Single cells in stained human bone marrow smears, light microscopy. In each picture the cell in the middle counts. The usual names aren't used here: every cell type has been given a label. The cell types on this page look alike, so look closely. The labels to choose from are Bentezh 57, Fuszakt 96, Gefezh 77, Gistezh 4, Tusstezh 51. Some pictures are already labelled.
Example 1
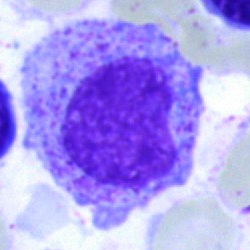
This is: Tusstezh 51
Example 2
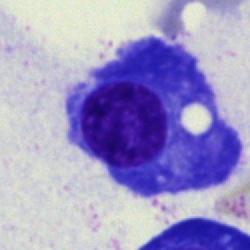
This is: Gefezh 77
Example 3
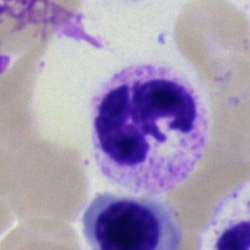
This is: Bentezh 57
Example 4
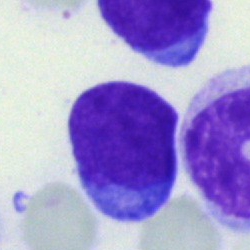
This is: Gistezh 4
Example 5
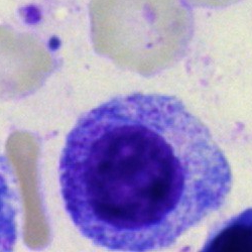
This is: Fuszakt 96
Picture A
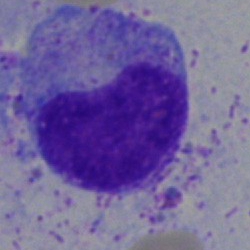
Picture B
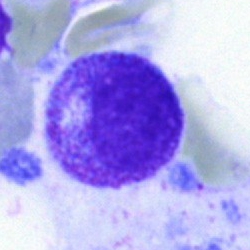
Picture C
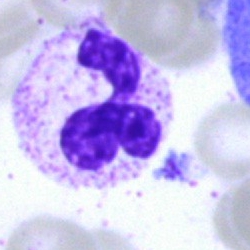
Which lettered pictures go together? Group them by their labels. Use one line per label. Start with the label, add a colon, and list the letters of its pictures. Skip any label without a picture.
Bentezh 57: C
Fuszakt 96: A, B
